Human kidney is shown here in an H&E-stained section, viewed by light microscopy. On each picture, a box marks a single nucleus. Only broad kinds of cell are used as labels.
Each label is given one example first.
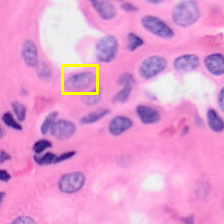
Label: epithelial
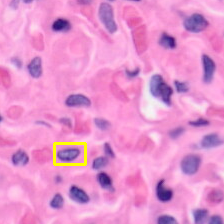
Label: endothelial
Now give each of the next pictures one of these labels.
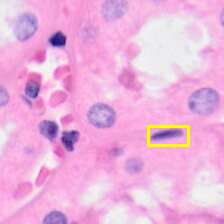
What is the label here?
endothelial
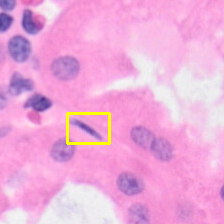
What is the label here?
endothelial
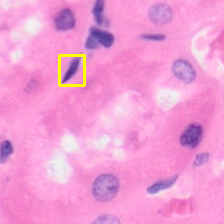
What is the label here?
endothelial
